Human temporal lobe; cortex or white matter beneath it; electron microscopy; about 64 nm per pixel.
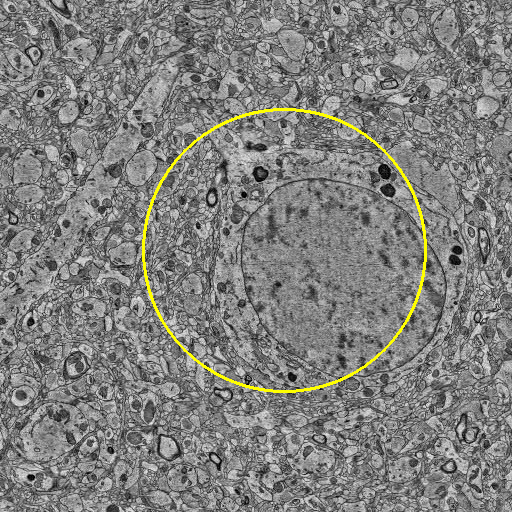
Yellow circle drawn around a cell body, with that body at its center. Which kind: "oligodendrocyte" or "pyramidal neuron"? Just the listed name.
pyramidal neuron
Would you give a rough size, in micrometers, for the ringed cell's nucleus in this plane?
About 14 by 12 micrometers for the nucleus, in this plane.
